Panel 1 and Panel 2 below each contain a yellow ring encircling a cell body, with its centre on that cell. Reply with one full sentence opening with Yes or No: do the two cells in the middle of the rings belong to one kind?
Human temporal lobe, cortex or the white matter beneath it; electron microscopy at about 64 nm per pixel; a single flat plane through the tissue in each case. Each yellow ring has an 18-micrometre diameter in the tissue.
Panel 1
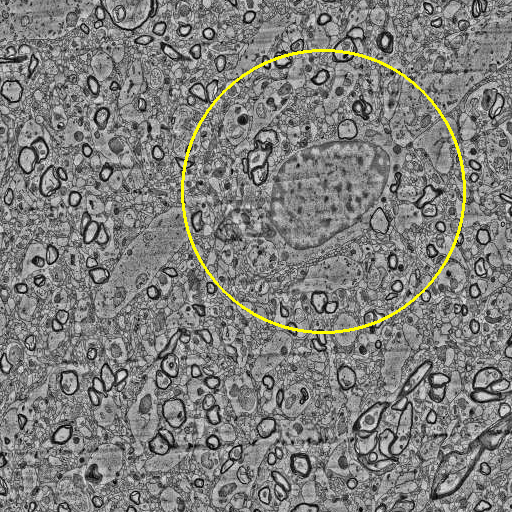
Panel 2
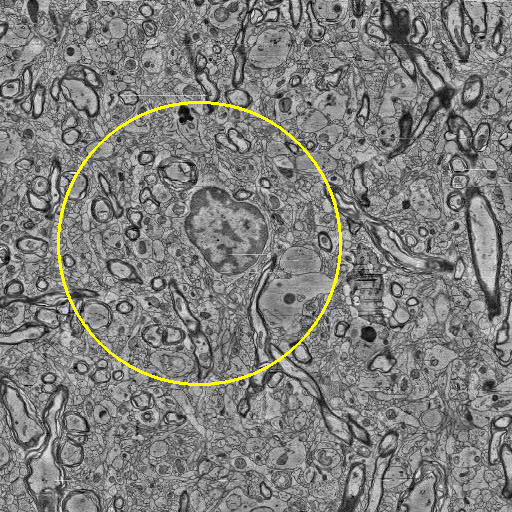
No, the cells at the middle of the Panel 1 ring and the Panel 2 ring are of two kinds.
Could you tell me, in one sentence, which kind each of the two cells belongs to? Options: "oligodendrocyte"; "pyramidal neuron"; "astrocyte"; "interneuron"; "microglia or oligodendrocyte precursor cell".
At the centre of the first ring sits an oligodendrocyte, and at the centre of the second sits a microglial cell or oligodendrocyte precursor cell.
